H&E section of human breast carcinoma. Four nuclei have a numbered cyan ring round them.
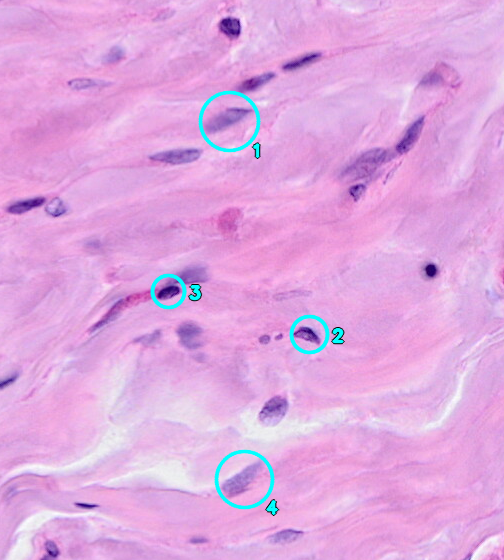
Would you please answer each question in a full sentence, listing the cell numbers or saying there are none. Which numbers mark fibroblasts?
The cells given the numbers 1, 2 and 4 are fibroblasts.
